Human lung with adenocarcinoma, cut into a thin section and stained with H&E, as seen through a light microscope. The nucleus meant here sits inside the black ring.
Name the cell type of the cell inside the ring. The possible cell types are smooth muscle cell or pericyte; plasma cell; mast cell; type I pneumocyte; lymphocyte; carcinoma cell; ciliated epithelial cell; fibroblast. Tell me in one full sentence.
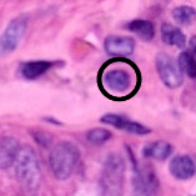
The correct response here is that the cell inside the ring is a mast cell.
